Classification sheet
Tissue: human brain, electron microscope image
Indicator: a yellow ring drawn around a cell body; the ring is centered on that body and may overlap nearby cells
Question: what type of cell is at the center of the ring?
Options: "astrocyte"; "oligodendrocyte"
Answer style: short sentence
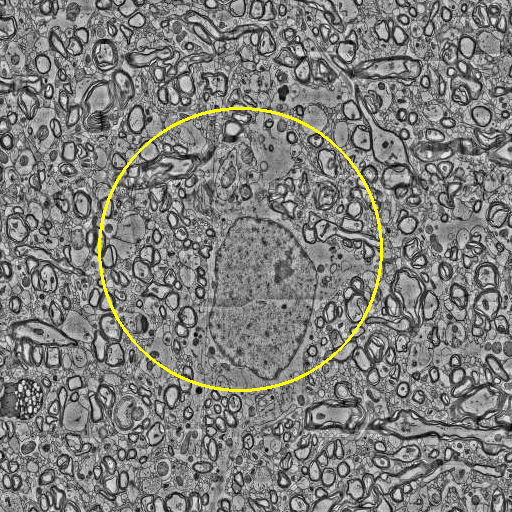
At the ring's center is an astrocyte.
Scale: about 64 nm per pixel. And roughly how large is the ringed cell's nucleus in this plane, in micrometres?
The nucleus works out at approximately 11 by 7 micrometres in this plane.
